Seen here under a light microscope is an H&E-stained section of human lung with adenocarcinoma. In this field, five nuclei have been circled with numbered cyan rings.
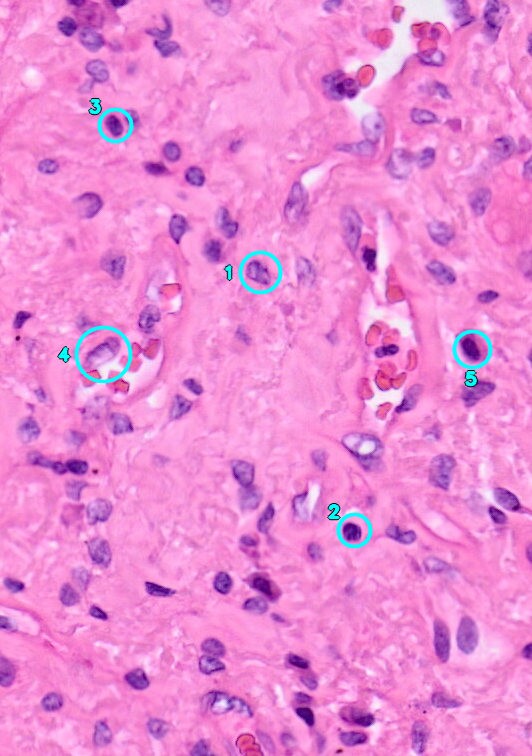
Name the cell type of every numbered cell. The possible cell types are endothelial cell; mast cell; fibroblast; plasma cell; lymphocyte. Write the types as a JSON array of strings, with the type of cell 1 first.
["fibroblast", "lymphocyte", "mast cell", "endothelial cell", "plasma cell"]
